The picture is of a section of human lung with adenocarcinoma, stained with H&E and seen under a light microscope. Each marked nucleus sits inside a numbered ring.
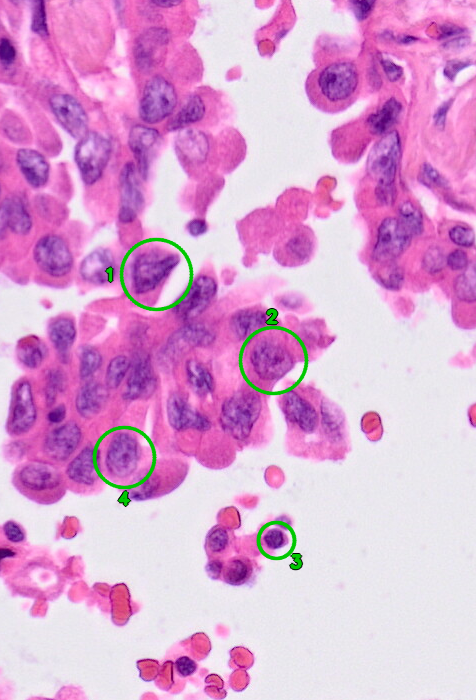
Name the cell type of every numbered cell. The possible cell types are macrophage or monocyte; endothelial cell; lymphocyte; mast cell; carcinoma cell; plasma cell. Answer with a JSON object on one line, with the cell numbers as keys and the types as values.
{"1": "carcinoma cell", "2": "carcinoma cell", "3": "lymphocyte", "4": "carcinoma cell"}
